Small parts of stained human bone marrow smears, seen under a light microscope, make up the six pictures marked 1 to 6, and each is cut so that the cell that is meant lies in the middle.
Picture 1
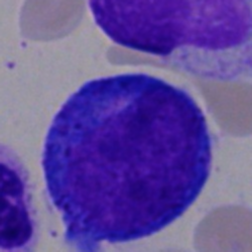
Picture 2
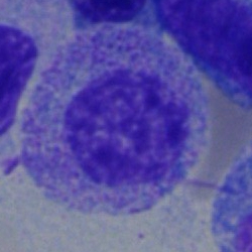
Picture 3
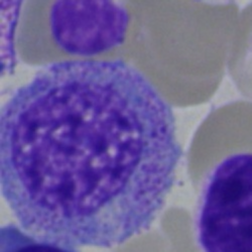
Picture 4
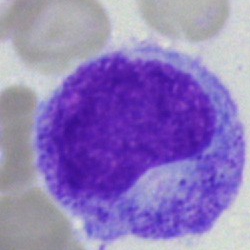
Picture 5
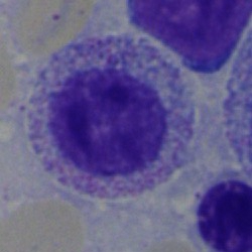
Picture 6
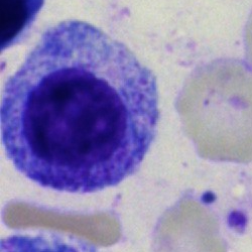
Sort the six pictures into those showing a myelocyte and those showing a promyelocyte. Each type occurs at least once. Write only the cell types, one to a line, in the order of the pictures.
promyelocyte
myelocyte
myelocyte
promyelocyte
myelocyte
myelocyte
